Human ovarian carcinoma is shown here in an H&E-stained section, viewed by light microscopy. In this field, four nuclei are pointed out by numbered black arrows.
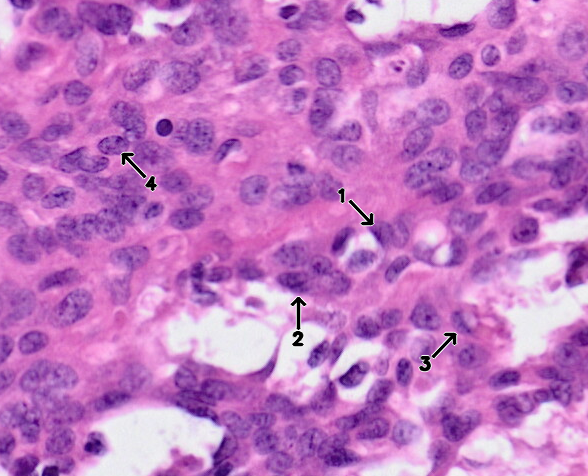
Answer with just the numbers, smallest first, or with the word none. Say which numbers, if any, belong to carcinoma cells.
1, 2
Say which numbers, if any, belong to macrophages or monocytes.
4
